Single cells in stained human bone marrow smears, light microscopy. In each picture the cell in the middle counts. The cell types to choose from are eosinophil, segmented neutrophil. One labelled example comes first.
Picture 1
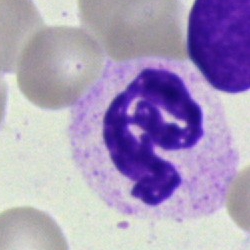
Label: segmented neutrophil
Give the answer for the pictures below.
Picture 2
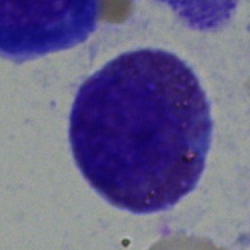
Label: eosinophil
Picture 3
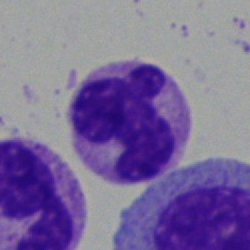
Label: segmented neutrophil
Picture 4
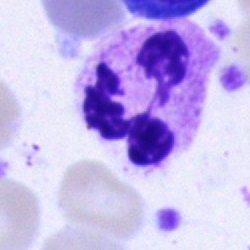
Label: segmented neutrophil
